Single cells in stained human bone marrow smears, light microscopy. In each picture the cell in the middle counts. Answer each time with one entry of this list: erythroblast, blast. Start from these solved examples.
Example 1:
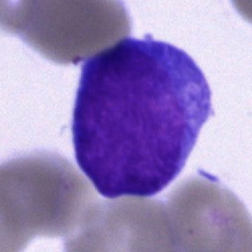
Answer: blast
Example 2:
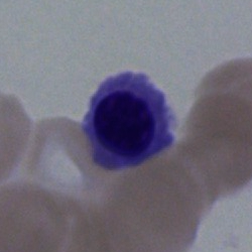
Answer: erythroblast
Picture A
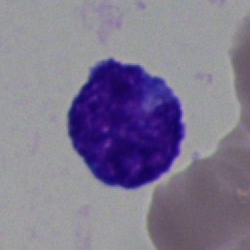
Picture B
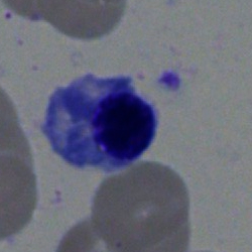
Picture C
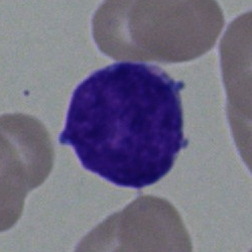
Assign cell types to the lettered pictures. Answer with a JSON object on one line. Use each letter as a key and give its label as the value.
{"A": "blast", "B": "erythroblast", "C": "blast"}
